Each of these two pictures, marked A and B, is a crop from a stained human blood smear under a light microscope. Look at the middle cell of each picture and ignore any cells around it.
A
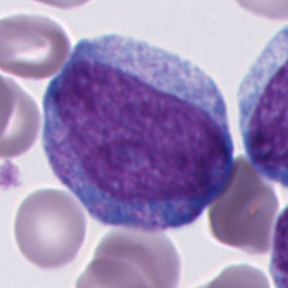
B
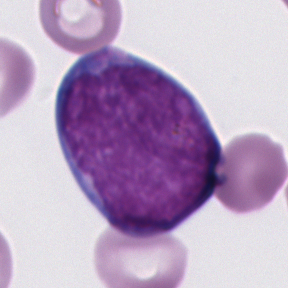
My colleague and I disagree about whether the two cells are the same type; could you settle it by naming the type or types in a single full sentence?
No, crop A and crop B contain, respectively, a promyelocyte and a blast.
